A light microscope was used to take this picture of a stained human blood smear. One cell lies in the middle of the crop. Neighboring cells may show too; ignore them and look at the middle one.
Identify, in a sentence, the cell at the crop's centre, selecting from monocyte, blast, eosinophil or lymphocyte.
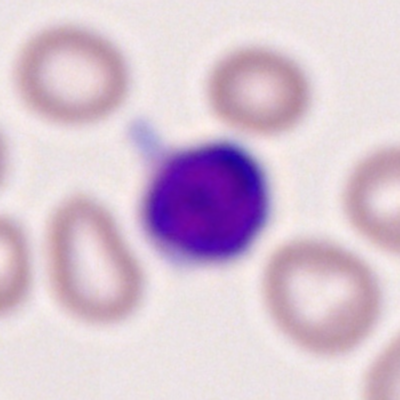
The crop shows a lymphocyte in its centre.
